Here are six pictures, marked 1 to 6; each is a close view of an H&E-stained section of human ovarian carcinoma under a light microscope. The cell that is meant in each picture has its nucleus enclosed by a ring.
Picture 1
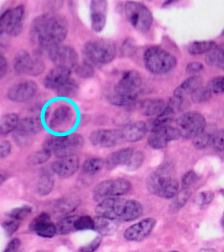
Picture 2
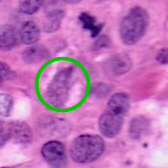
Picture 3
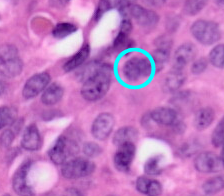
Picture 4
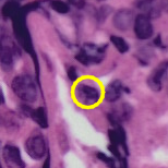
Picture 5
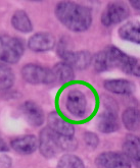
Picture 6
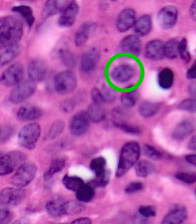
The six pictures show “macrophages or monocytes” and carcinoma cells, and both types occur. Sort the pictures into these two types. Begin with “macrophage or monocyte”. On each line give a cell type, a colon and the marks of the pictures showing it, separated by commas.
macrophage or monocyte: 4, 5, 6
carcinoma cell: 1, 2, 3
